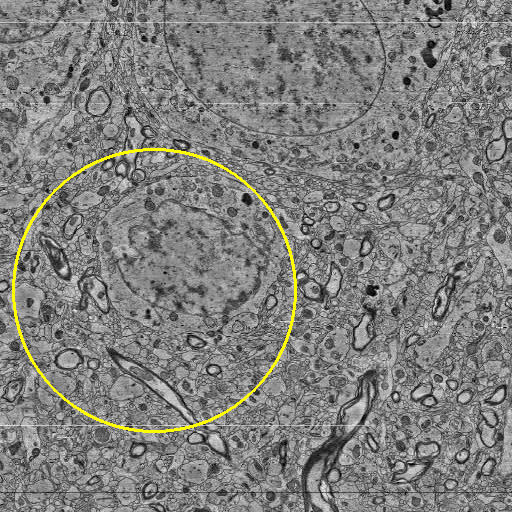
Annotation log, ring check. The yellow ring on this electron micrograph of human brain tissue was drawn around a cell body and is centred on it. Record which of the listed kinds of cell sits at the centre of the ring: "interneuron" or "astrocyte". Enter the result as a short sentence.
The cell at the centre of the ring is an interneuron.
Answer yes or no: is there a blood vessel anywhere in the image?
No, there is none.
